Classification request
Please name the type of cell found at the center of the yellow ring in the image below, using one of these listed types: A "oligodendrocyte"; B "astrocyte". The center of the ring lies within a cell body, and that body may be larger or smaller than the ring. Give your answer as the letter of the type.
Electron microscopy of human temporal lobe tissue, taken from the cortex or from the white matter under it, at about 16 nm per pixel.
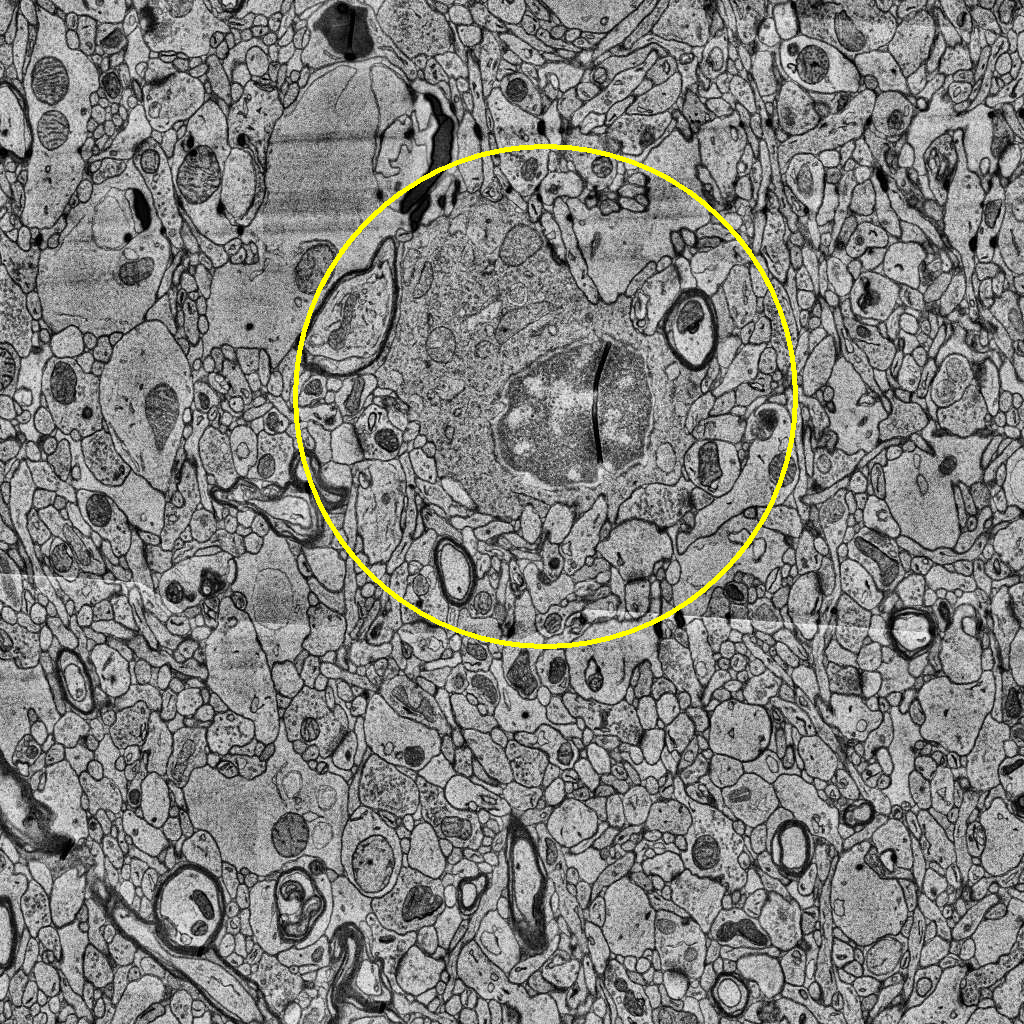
A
